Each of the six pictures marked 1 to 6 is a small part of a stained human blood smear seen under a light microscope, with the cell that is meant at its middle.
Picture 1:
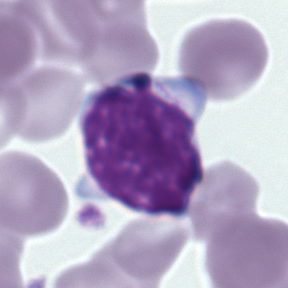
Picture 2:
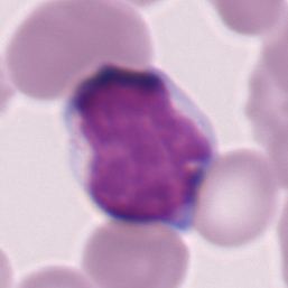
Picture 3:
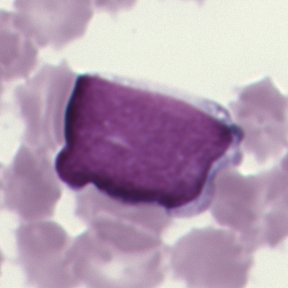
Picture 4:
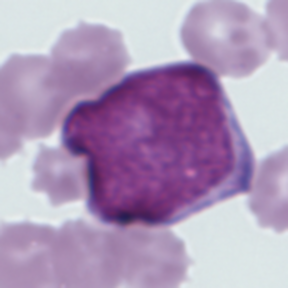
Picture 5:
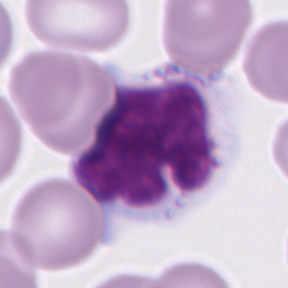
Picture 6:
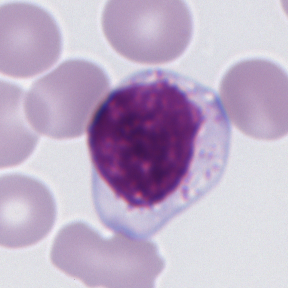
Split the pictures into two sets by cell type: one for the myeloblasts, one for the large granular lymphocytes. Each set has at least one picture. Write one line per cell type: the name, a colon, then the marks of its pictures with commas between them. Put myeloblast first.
myeloblast: 3, 4
large granular lymphocyte: 1, 2, 5, 6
